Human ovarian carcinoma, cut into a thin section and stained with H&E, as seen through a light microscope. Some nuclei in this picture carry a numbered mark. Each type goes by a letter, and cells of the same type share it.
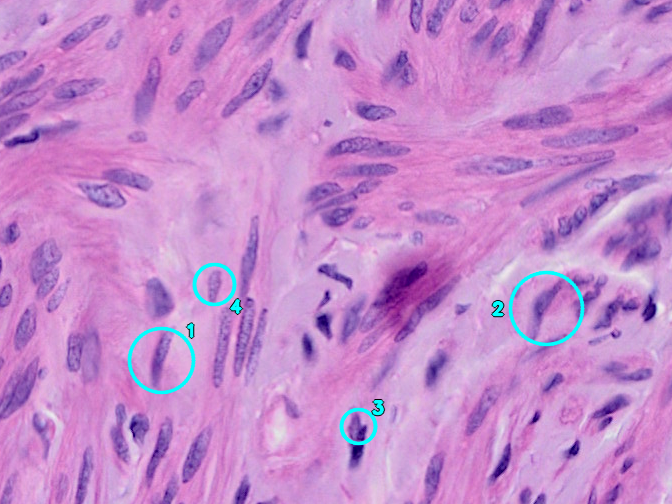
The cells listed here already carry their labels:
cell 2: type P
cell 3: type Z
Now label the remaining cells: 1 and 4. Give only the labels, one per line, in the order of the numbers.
type P
type P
